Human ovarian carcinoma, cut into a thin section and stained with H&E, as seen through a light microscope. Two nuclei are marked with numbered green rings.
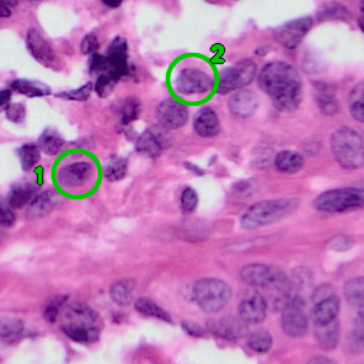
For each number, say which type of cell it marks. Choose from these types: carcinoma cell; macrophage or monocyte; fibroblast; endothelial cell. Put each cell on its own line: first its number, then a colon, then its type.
1: carcinoma cell
2: macrophage or monocyte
